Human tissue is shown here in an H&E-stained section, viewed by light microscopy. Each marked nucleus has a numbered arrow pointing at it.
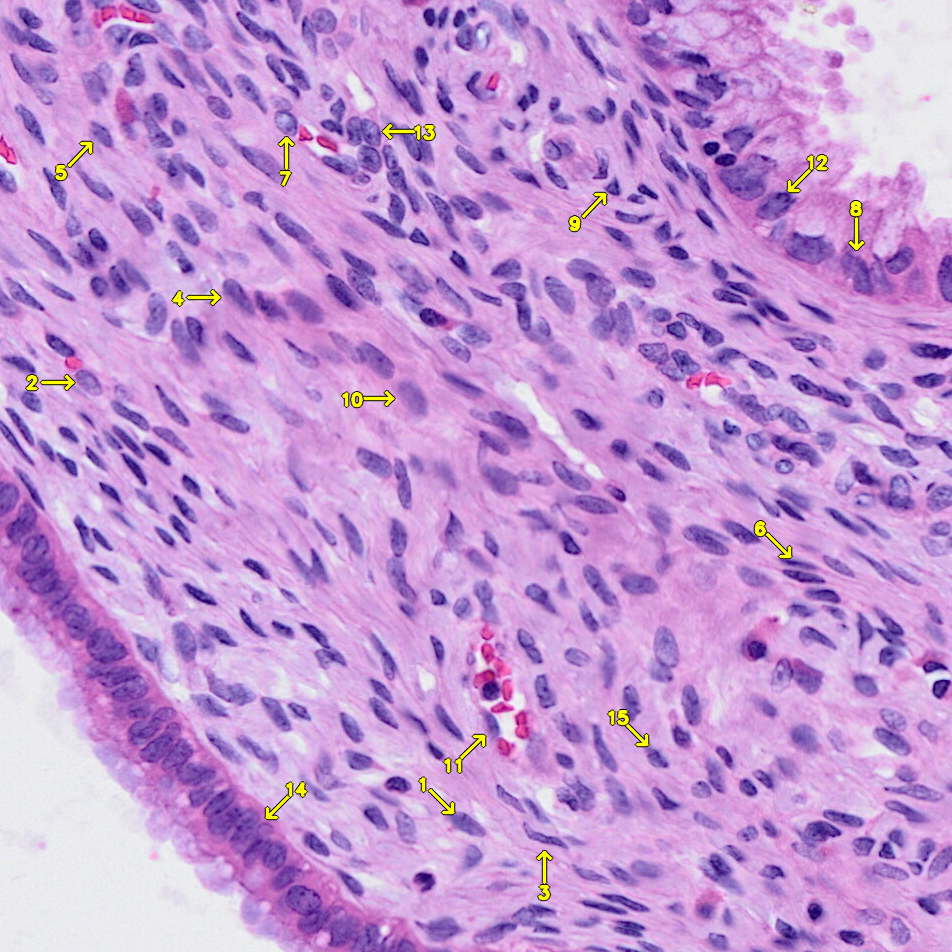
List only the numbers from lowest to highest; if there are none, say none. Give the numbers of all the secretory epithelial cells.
8, 12, 14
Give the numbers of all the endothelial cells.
2, 7, 11, 13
